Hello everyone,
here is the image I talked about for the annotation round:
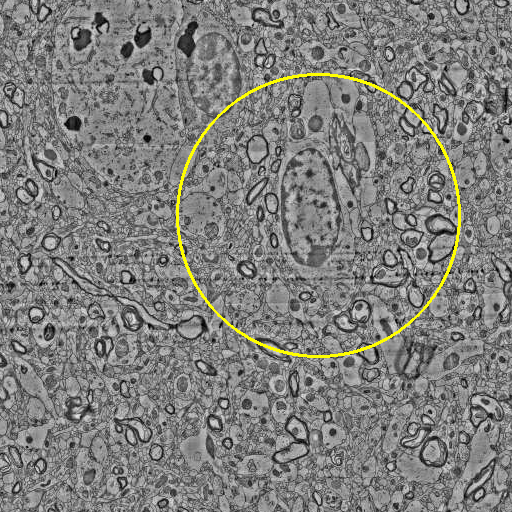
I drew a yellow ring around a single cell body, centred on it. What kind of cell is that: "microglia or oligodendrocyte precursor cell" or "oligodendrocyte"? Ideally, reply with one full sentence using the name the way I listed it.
The cell your yellow ring is centred on is a microglial cell or oligodendrocyte precursor cell, going by your list.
